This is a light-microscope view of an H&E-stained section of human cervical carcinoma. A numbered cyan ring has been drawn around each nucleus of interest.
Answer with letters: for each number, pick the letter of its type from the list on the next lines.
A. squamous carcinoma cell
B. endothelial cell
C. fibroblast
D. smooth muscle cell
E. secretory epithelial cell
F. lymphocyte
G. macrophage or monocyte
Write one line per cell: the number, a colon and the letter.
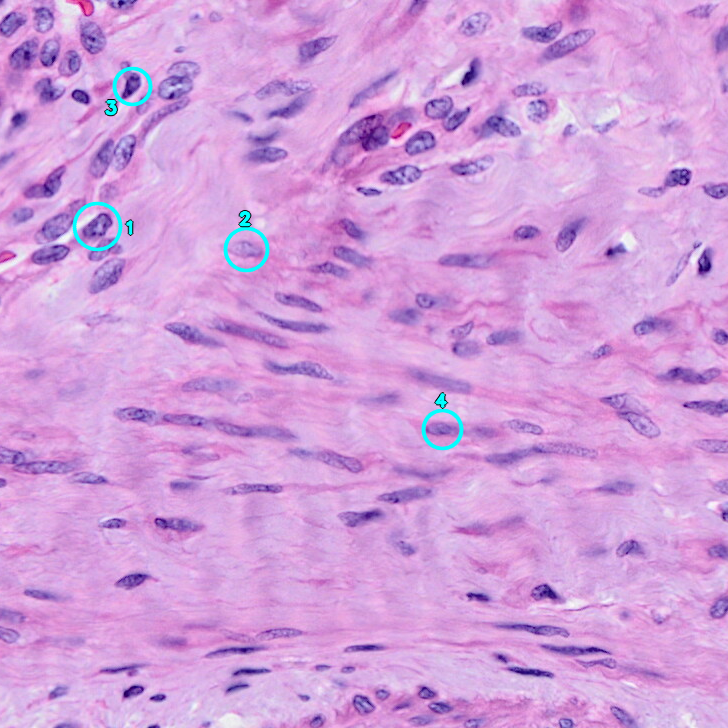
1: B
2: D
3: F
4: D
